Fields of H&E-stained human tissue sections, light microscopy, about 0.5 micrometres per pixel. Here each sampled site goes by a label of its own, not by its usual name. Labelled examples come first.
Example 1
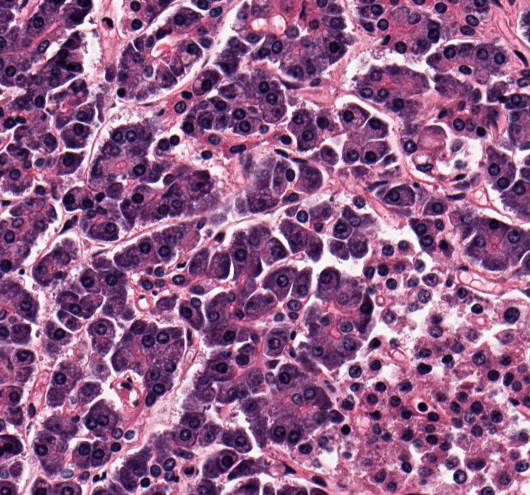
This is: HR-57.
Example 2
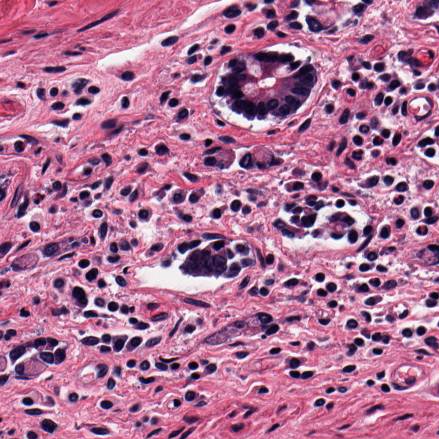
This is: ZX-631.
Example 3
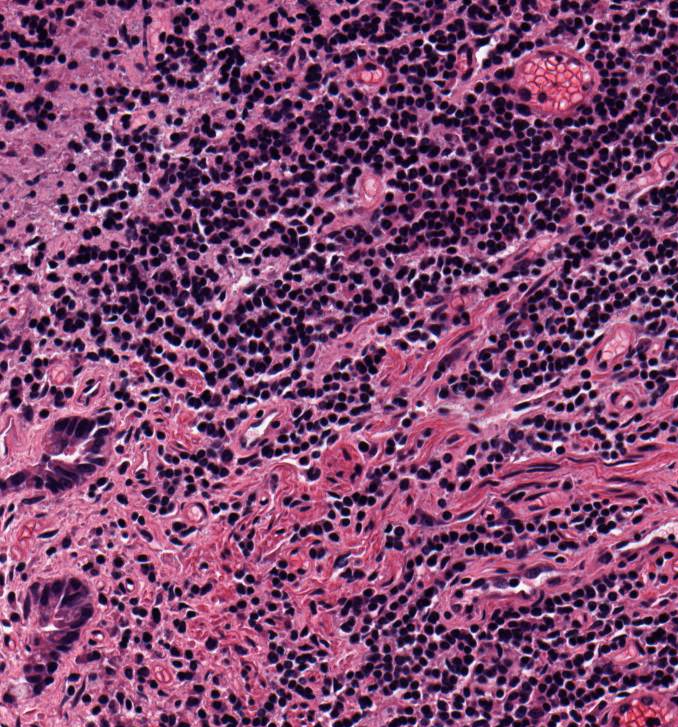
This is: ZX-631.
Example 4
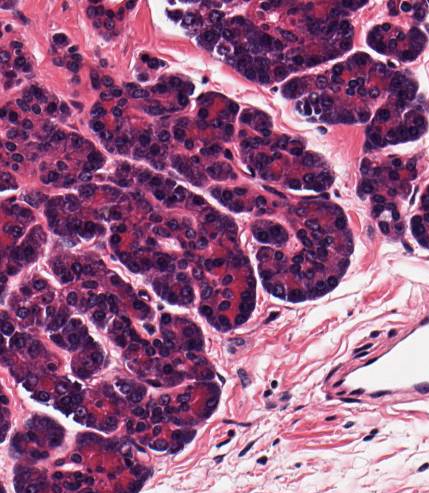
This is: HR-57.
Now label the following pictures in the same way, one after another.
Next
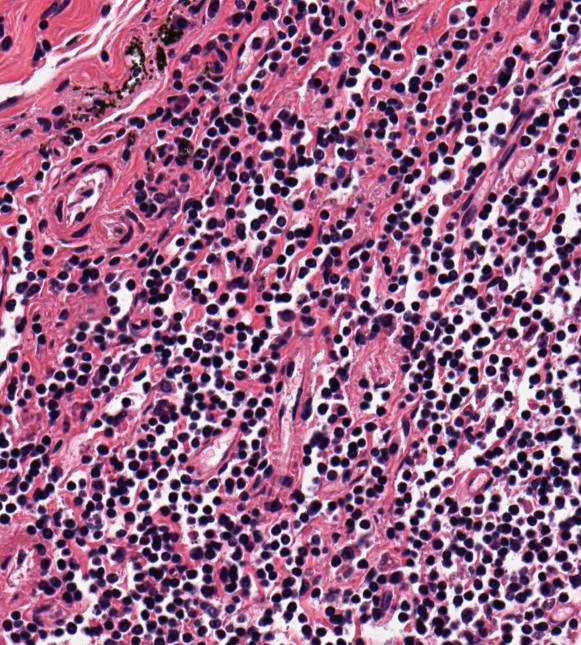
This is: ZX-631.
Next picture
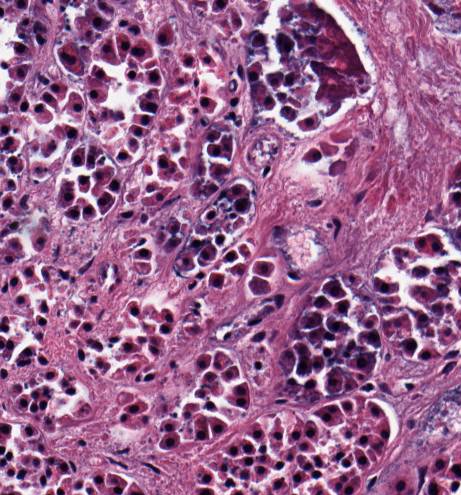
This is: HR-57.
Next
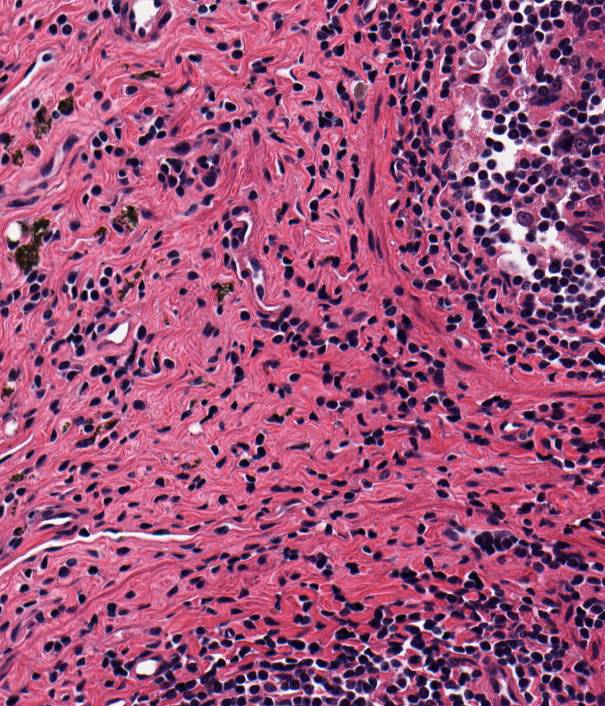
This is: ZX-631.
